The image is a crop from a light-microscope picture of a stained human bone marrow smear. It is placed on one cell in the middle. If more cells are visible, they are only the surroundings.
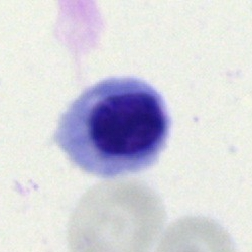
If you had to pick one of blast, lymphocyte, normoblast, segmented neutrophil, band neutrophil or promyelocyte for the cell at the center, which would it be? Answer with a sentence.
The cell at the centre of the field is a normoblast.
